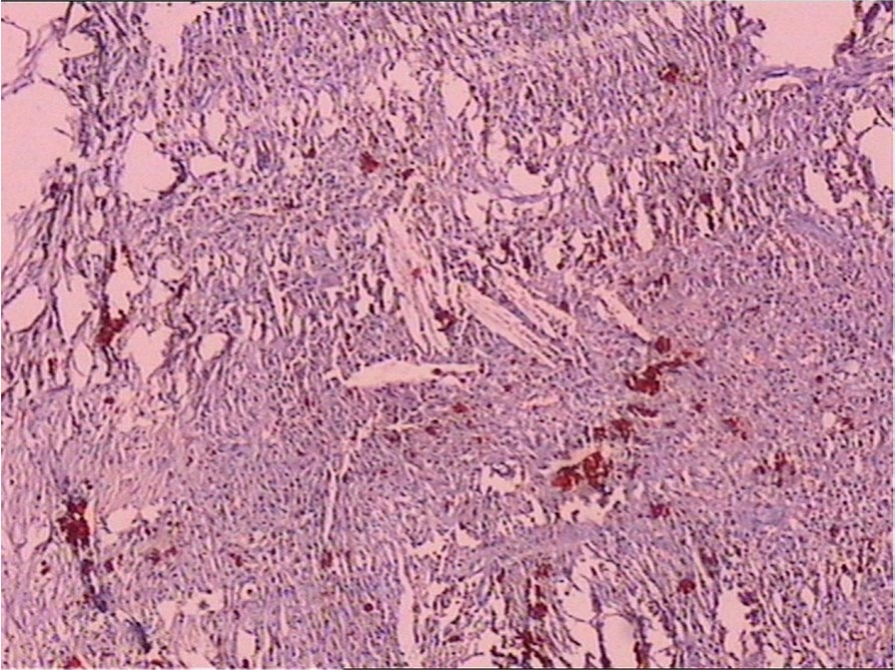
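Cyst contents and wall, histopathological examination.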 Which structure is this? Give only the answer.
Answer: cholesterol clefts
